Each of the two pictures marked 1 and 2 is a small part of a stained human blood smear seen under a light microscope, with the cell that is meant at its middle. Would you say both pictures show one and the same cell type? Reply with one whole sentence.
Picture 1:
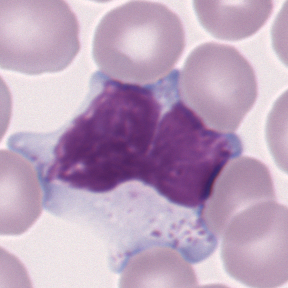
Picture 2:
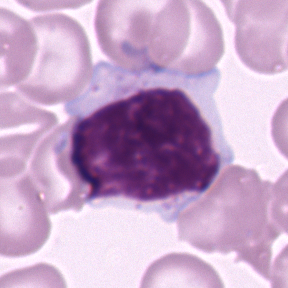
Yes, the two pictures both show large granular lymphocytes.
